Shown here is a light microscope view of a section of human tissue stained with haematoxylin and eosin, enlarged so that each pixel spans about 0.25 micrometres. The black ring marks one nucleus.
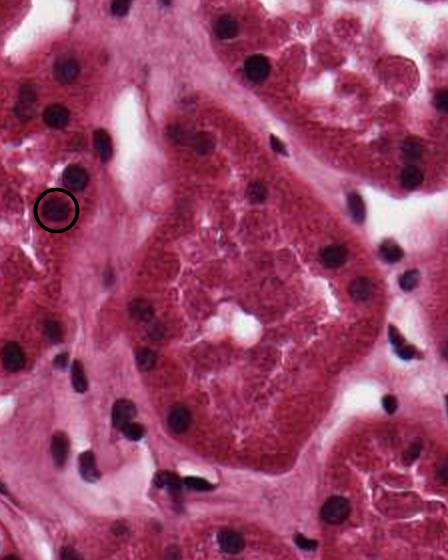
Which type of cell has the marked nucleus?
proximal tubule cell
